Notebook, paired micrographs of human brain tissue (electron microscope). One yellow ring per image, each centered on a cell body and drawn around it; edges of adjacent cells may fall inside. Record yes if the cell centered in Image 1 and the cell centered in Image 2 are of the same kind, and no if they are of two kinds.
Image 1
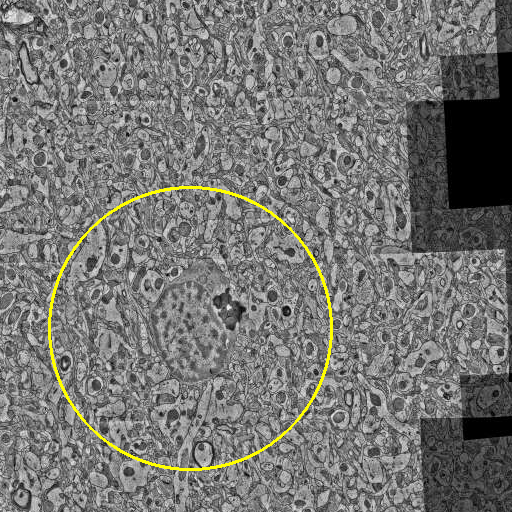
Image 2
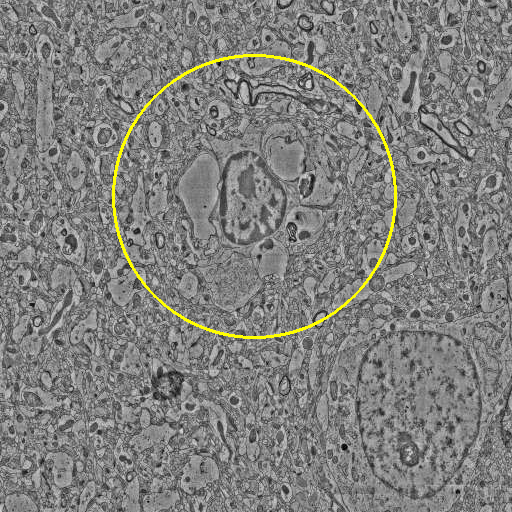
no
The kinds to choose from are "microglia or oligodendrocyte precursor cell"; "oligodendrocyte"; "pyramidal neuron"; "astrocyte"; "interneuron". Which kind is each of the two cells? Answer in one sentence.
Of the two, the first cell is an oligodendrocyte and the second cell is a microglial cell or oligodendrocyte precursor cell.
